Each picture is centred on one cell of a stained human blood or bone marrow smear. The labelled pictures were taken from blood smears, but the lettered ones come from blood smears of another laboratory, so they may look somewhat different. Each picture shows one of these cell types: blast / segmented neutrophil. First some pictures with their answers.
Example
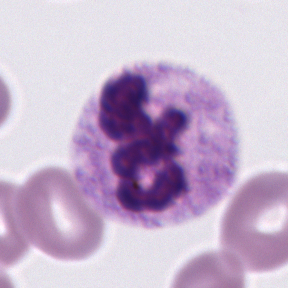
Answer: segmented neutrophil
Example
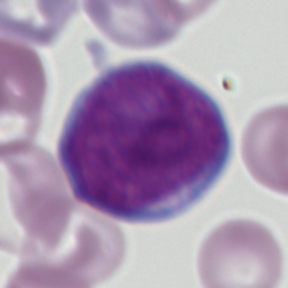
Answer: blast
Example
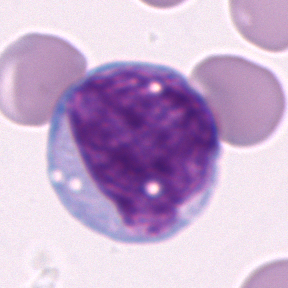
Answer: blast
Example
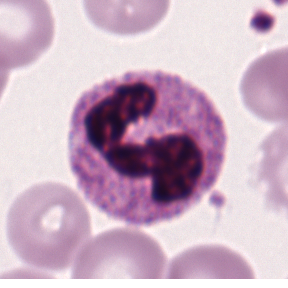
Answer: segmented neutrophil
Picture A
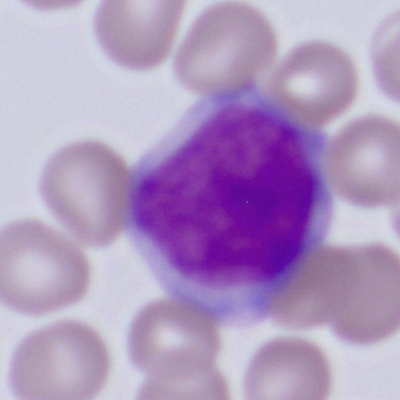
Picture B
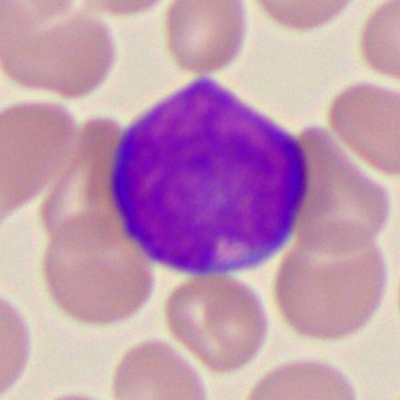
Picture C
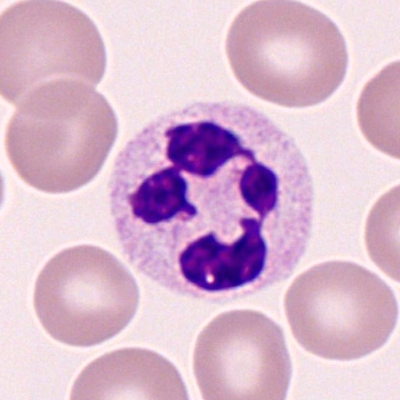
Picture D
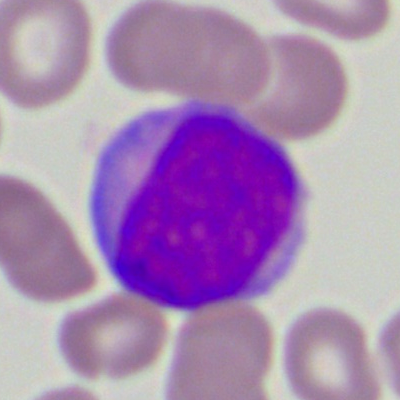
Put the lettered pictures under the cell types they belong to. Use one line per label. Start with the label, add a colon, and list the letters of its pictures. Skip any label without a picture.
blast: A, B, D
segmented neutrophil: C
